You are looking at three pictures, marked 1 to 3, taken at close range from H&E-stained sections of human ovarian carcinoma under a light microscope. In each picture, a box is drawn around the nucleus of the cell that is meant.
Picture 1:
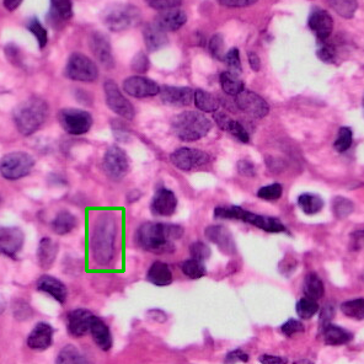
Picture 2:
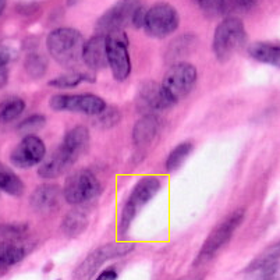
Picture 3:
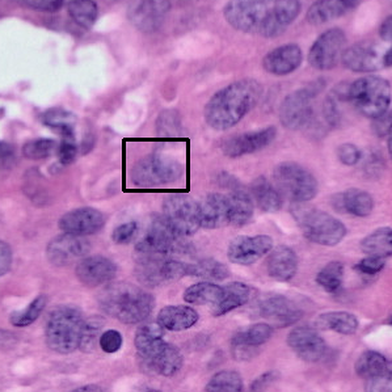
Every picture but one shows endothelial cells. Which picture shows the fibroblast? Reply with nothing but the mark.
2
